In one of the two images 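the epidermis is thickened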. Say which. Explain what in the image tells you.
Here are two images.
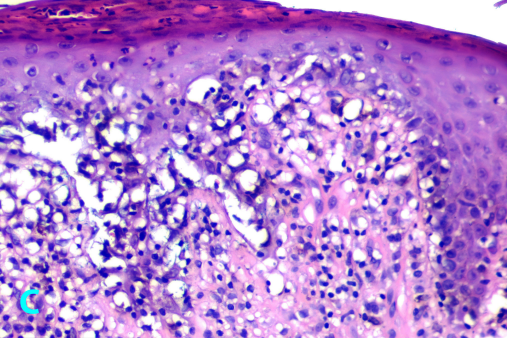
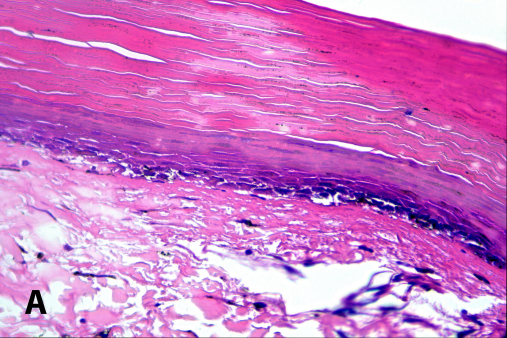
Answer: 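The first image. Second image: the living epidermis is a thin band of few cell layers under thick keratin. First image: the epidermis is many cell layers thick with a broad downward projection.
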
